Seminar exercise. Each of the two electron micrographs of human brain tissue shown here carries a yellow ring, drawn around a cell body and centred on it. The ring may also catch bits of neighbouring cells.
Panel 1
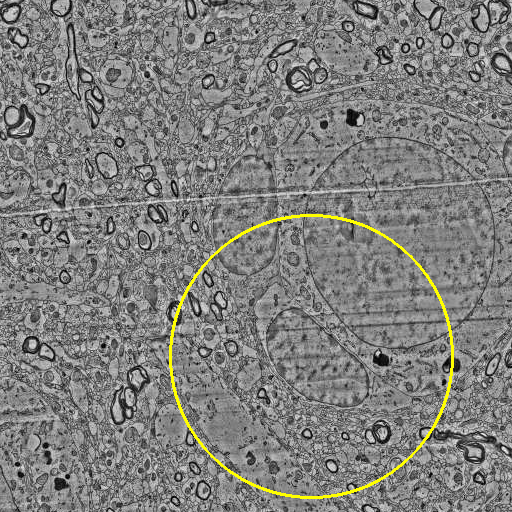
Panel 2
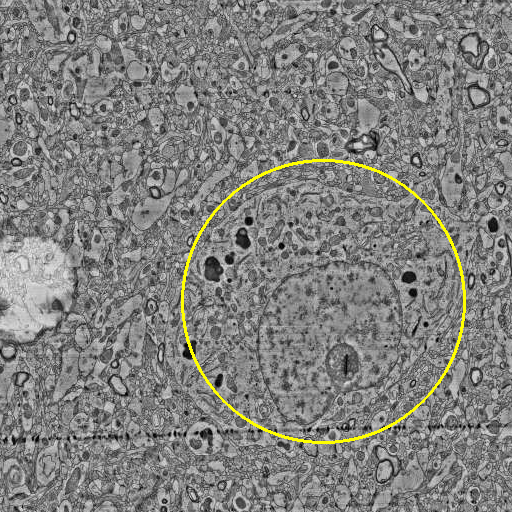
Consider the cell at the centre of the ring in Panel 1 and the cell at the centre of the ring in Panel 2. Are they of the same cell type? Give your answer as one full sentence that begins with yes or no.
No, the two cells are of two types.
